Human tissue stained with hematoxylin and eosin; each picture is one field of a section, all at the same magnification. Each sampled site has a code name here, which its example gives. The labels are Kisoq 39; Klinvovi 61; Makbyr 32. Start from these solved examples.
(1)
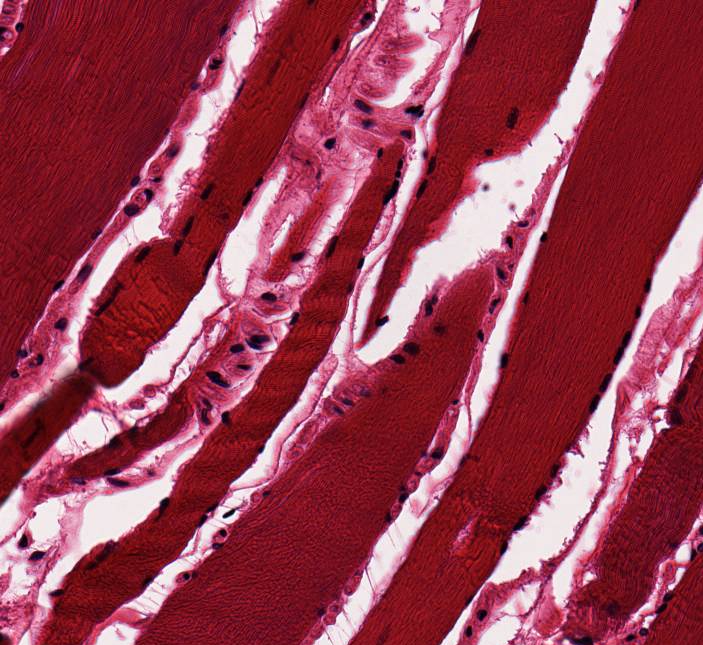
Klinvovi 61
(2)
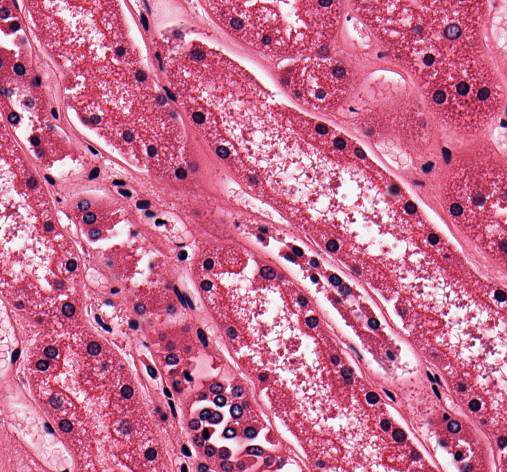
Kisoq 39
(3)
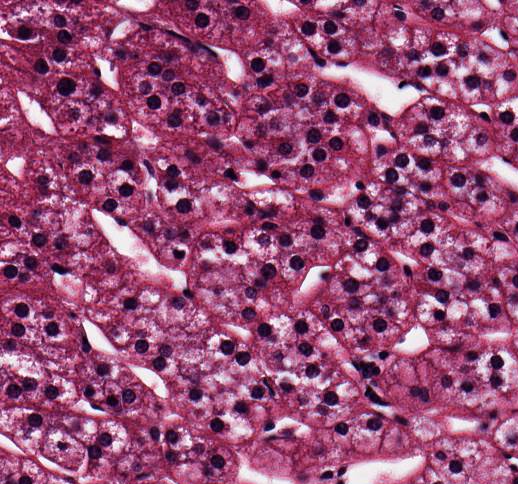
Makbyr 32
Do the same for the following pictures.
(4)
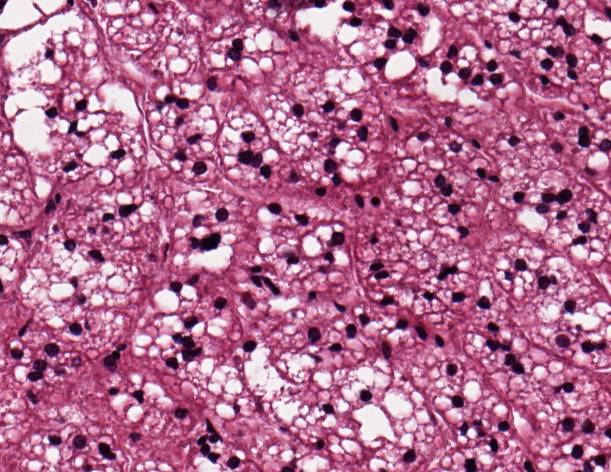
Makbyr 32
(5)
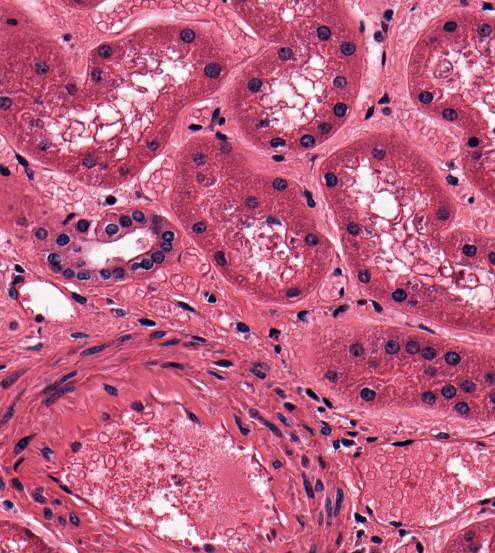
Kisoq 39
